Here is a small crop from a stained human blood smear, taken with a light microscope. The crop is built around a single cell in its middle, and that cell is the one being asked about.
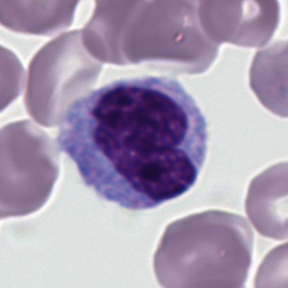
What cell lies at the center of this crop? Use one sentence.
The crop centres on a single cell, and that cell is a monocyte.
